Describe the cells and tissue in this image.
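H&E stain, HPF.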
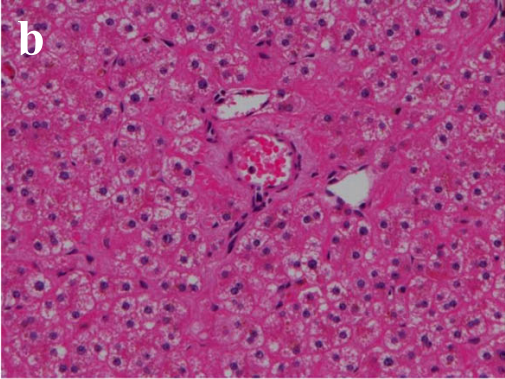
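Hepatocytes are arranged in plates around a small central vessel filled with red blood cells. The cells are polygonal with round nuclei of fairly uniform size. Their cytoplasm is pale and finely vacuolated, with pink strands between clear spaces. Thin pink fibrous strands and a few small elongated nuclei accompany the vessels.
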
